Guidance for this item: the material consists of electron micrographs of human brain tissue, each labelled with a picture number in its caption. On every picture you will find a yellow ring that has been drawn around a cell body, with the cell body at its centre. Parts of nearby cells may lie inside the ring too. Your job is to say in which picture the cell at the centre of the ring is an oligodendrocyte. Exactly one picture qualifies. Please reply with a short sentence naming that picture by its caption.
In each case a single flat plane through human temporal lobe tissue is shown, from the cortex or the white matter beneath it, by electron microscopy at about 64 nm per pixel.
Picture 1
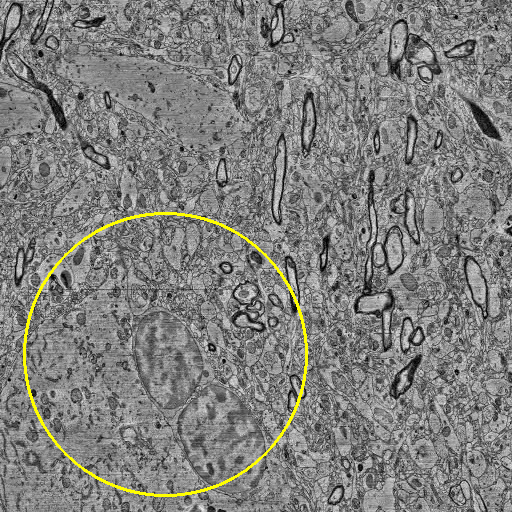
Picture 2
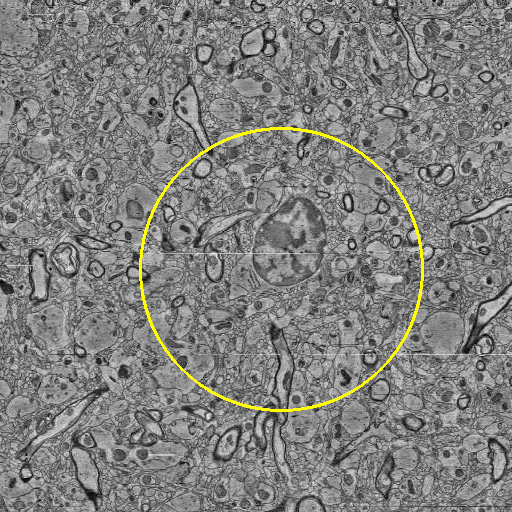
Picture 1 shows it at the centre of the ring.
